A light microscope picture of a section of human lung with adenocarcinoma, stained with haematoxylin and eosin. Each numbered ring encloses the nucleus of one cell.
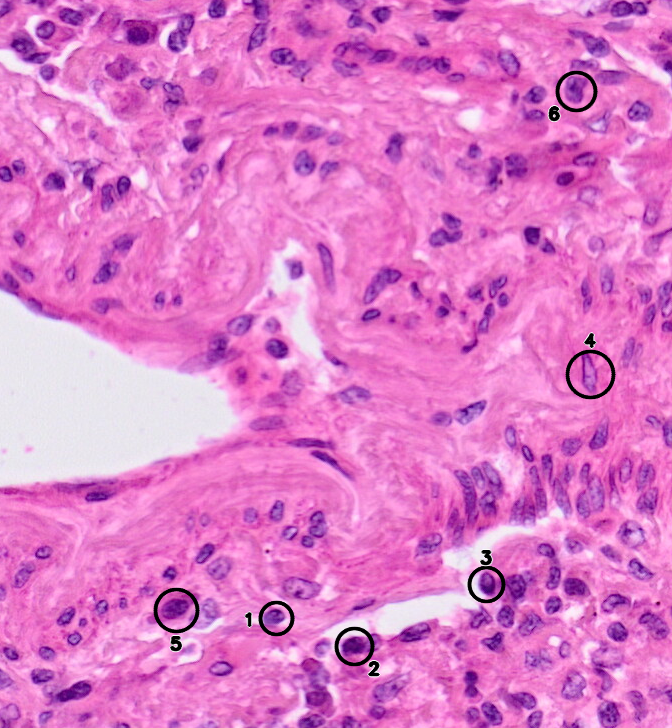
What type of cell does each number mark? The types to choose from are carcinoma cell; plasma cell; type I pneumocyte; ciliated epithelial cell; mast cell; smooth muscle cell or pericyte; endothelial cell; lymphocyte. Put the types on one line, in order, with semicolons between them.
lymphocyte; plasma cell; lymphocyte; smooth muscle cell or pericyte; plasma cell; lymphocyte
